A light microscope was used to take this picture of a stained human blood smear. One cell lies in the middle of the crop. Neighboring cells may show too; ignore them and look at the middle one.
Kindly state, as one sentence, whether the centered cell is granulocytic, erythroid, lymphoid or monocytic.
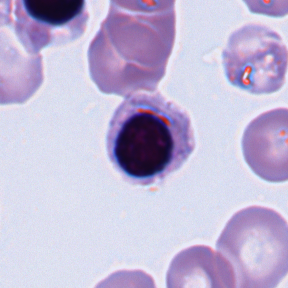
Within the erythroid lineage lies the cell at the center of the crop.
